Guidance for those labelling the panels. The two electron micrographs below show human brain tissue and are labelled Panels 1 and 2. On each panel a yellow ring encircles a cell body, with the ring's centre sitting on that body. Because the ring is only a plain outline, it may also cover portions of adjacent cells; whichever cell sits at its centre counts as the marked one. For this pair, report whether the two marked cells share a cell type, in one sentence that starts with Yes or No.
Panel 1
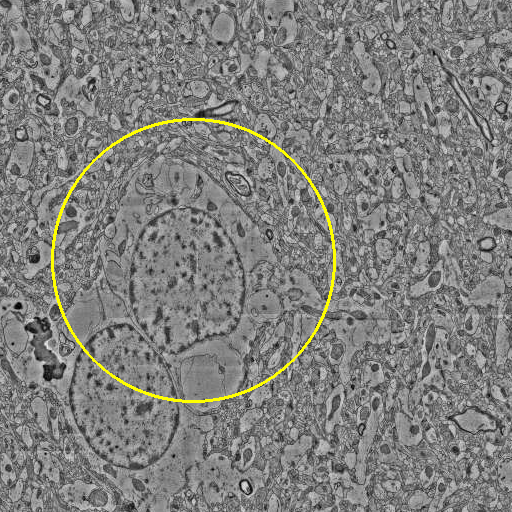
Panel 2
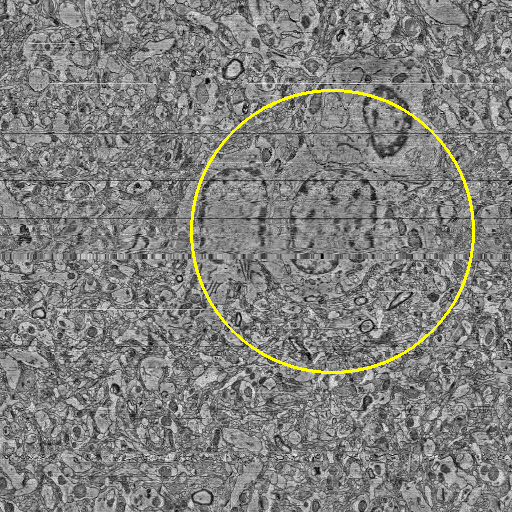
Yes, in Panel 1 and Panel 2 the marked cells at the ring centres share one type.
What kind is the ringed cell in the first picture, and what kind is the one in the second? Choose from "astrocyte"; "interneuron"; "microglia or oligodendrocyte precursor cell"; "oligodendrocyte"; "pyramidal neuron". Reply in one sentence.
Each one of the two ringed cells is an astrocyte.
